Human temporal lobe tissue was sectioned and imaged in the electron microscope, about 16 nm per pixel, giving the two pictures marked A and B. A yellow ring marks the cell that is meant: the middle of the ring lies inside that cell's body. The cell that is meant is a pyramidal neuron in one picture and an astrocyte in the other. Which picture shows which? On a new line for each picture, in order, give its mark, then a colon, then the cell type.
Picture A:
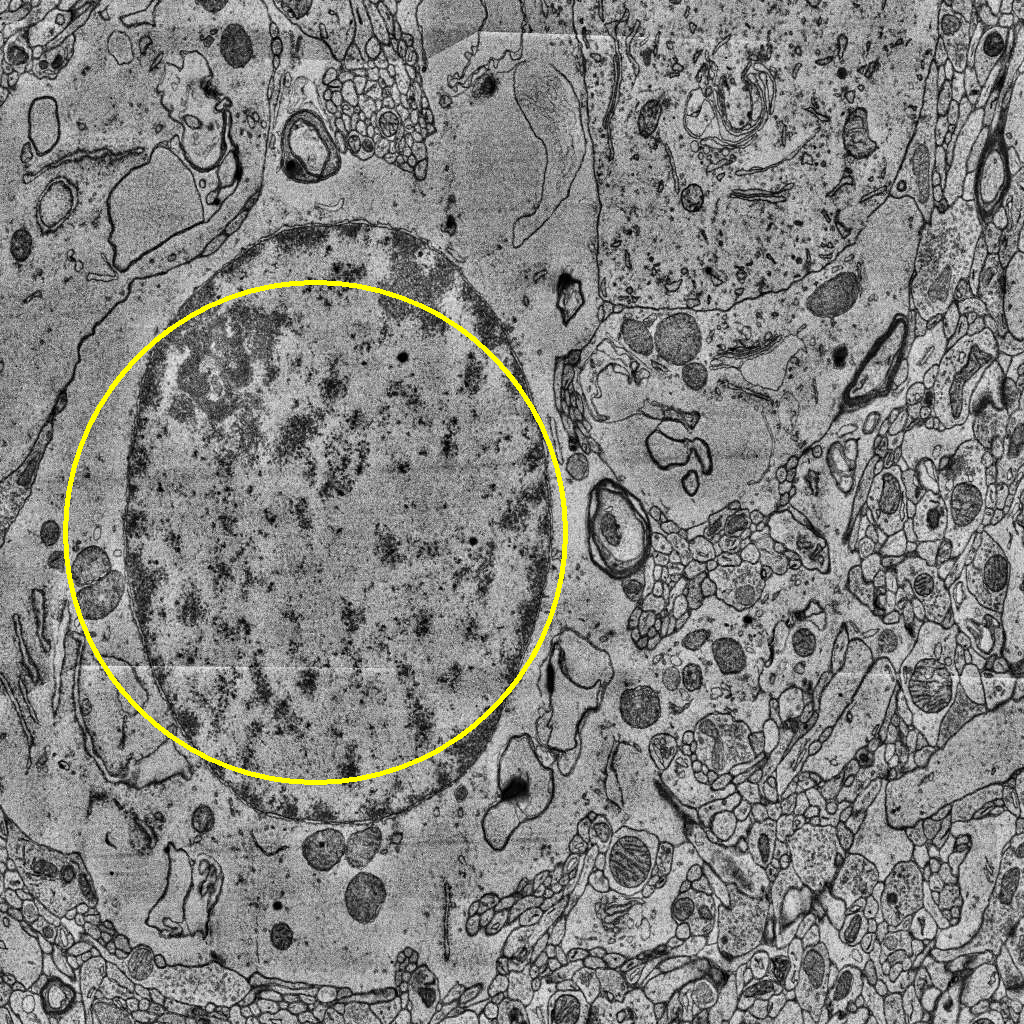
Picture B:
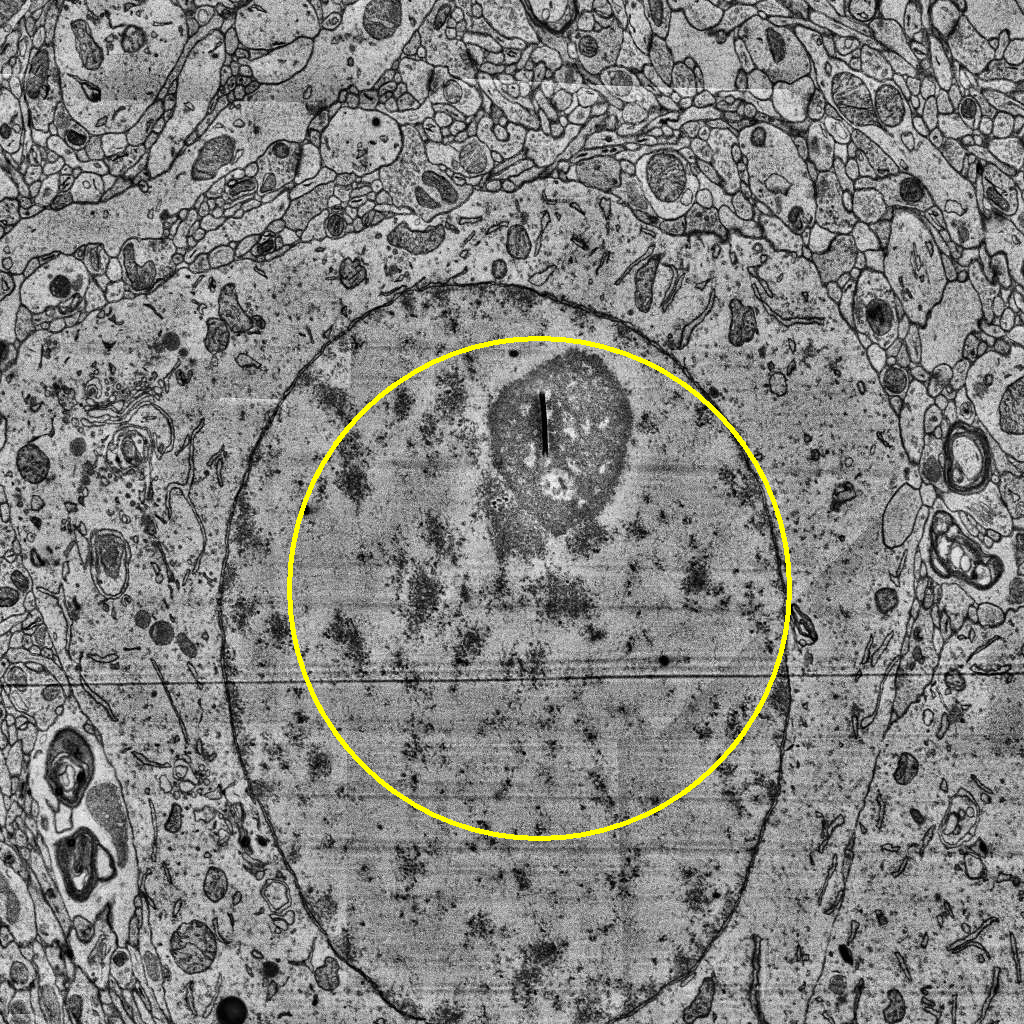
A: astrocyte
B: pyramidal neuron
